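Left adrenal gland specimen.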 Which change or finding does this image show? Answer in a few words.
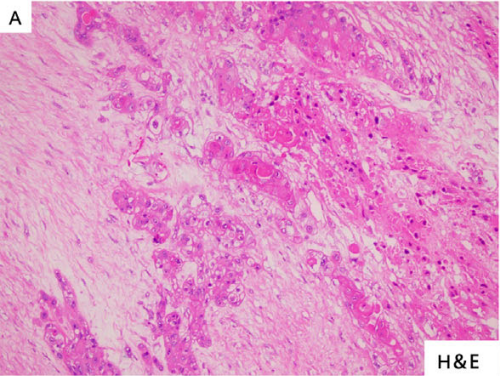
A: Squamous cell carcinoma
